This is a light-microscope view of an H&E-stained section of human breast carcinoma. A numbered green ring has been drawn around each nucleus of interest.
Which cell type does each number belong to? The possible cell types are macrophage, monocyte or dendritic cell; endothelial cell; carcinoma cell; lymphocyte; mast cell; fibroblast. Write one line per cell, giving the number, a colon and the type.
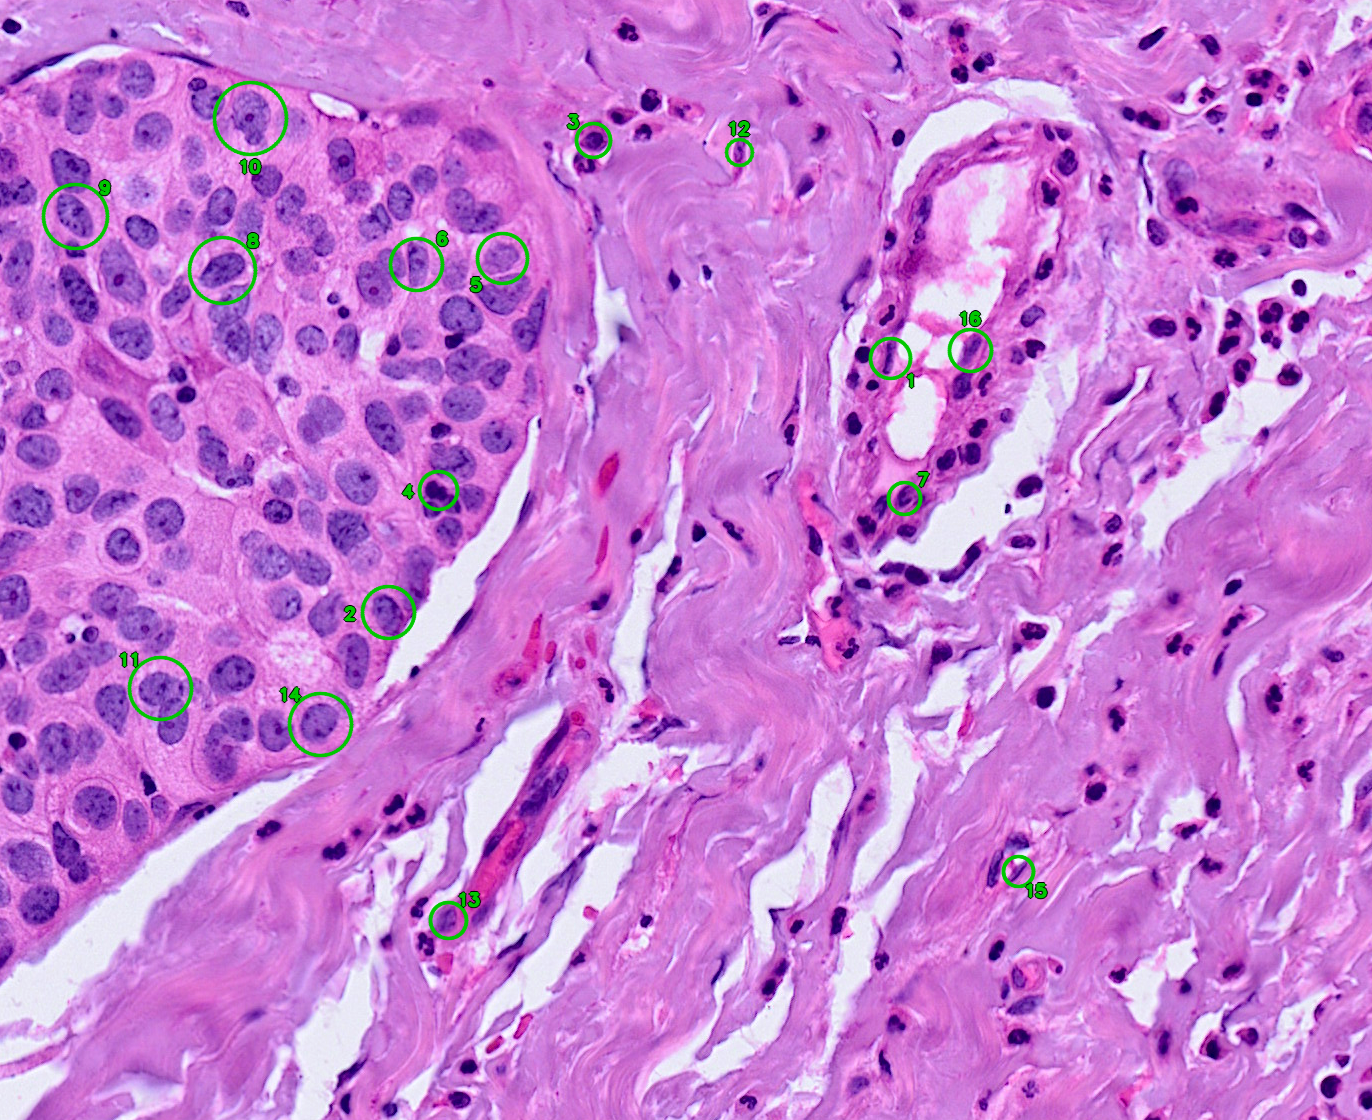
1: endothelial cell
2: carcinoma cell
3: mast cell
4: carcinoma cell
5: carcinoma cell
6: carcinoma cell
7: endothelial cell
8: carcinoma cell
9: carcinoma cell
10: carcinoma cell
11: carcinoma cell
12: fibroblast
13: endothelial cell
14: carcinoma cell
15: endothelial cell
16: endothelial cell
